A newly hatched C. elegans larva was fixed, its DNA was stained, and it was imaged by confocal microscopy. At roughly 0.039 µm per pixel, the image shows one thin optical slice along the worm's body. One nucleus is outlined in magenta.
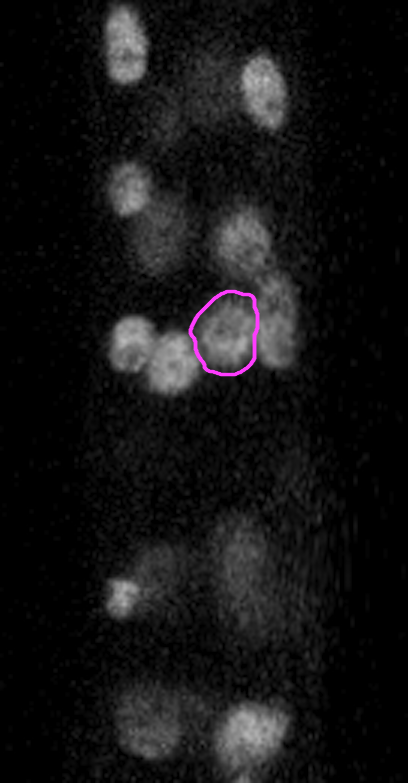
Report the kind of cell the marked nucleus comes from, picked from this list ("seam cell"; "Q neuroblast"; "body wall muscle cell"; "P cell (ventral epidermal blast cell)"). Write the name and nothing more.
seam cell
